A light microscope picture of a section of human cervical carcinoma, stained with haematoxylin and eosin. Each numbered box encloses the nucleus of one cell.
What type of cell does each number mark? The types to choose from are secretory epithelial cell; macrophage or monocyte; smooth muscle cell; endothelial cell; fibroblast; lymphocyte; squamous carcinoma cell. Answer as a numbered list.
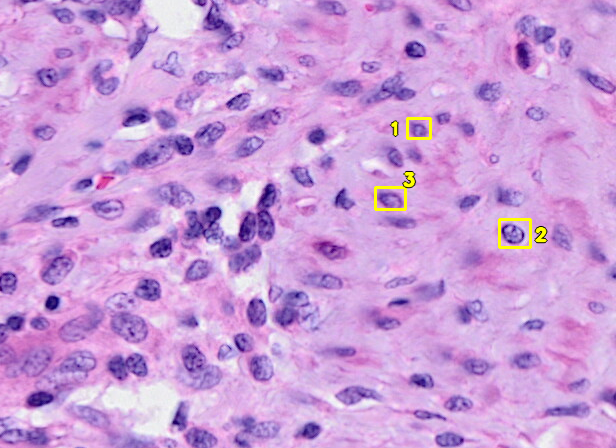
1. smooth muscle cell
2. lymphocyte
3. smooth muscle cell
